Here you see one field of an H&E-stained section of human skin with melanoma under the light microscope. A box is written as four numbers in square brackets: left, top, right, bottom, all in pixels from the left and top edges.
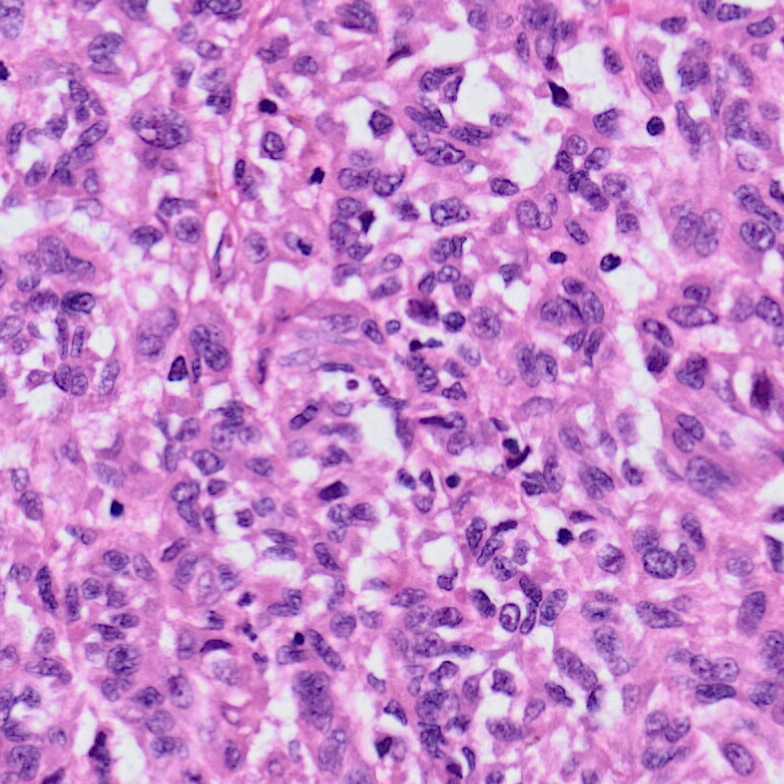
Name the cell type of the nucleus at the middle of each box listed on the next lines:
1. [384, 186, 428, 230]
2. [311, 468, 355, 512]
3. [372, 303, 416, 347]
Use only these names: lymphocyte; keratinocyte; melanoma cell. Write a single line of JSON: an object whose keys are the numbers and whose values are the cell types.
{"1": "melanoma cell", "2": "melanoma cell", "3": "lymphocyte"}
